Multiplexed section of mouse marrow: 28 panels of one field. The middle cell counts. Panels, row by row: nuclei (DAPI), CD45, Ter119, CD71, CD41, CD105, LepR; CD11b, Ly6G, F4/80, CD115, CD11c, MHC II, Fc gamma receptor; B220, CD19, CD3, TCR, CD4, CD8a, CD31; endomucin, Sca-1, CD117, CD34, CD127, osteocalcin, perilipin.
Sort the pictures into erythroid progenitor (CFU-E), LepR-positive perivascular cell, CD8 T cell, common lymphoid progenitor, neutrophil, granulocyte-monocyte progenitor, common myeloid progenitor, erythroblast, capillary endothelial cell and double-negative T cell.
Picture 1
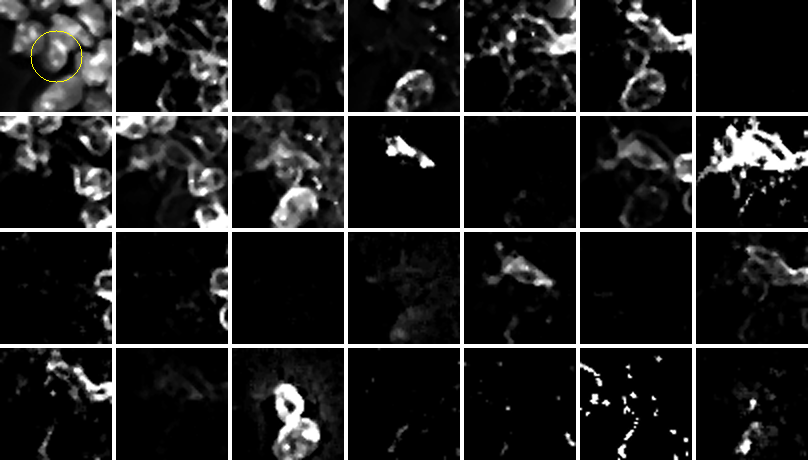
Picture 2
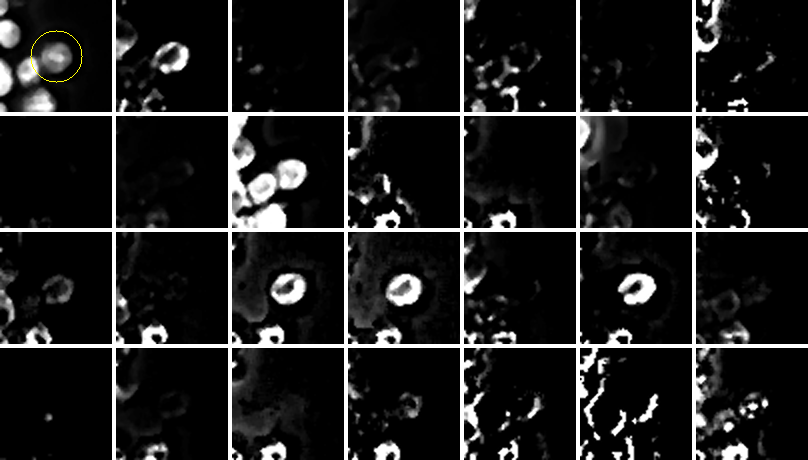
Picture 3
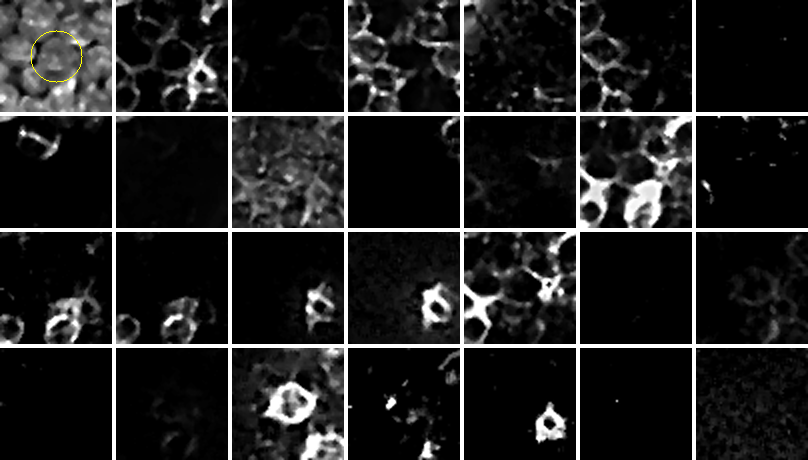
Granulocyte-monocyte progenitors: 1
CD8 T cells: 2
Common myeloid progenitors: 3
